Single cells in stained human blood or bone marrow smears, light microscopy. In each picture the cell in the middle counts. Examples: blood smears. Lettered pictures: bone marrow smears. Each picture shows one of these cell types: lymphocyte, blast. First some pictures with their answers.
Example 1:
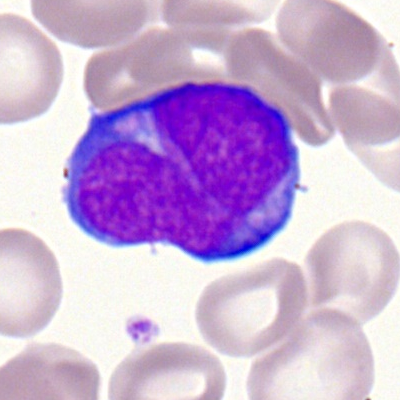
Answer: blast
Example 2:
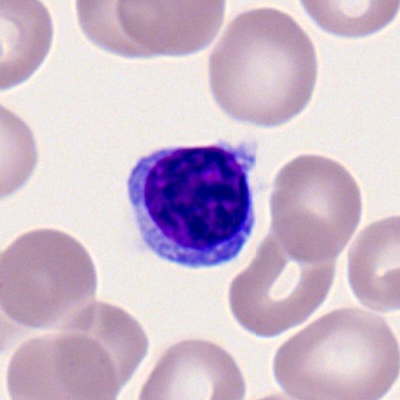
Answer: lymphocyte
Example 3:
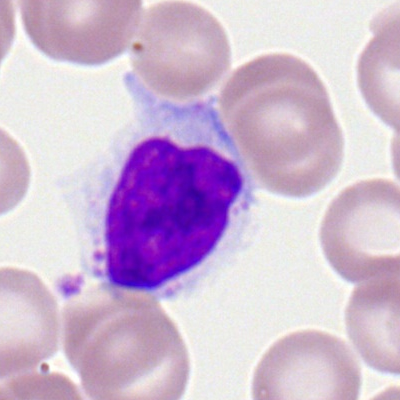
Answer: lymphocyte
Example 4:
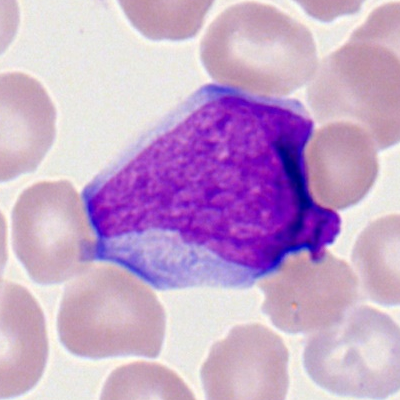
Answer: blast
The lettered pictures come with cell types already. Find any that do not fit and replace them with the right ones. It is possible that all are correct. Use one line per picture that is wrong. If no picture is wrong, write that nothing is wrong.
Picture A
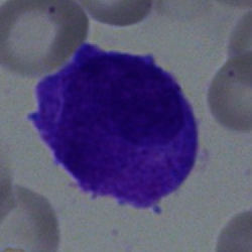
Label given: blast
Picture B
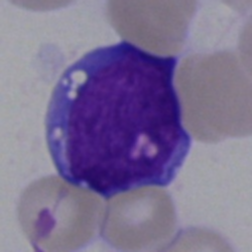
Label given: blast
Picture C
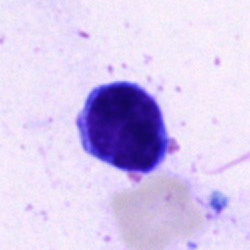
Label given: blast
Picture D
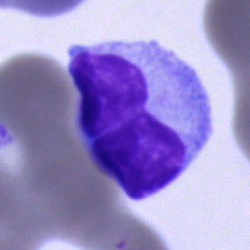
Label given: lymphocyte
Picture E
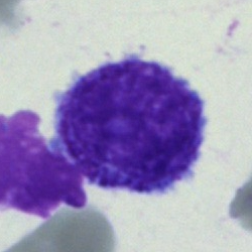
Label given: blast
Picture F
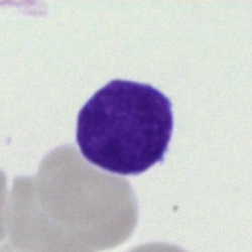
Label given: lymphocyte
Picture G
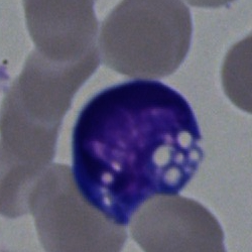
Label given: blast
C is labelled blast; correct label: lymphocyte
